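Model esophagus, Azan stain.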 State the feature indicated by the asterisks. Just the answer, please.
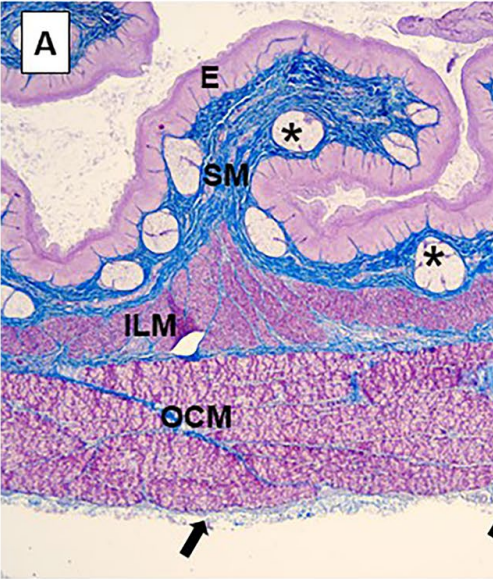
Mucous glands.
